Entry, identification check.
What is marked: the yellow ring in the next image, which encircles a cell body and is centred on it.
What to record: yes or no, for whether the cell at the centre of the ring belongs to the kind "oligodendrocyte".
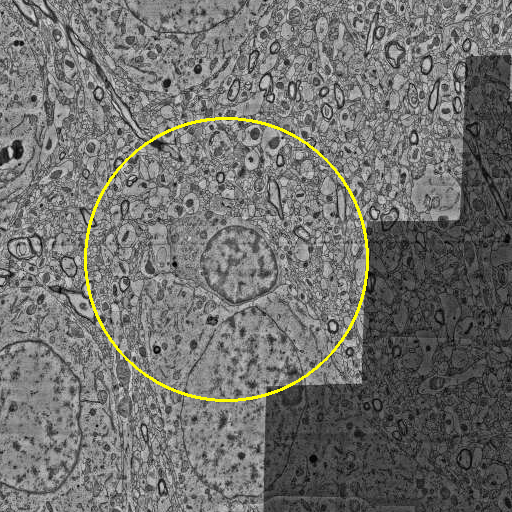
Yes, it belongs to that kind.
